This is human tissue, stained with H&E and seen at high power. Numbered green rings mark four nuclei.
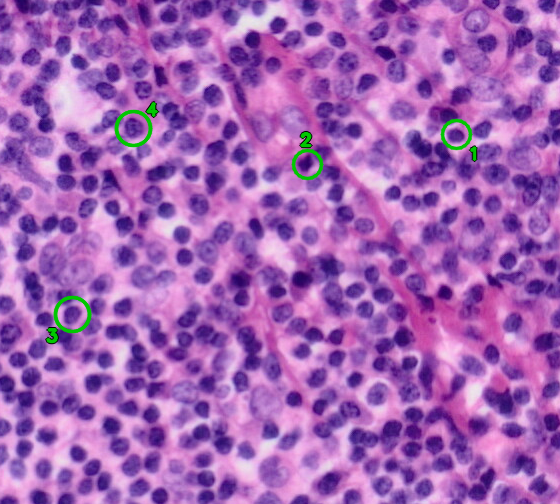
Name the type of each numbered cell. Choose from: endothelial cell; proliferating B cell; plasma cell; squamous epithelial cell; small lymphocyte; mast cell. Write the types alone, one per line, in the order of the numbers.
small lymphocyte
endothelial cell
small lymphocyte
plasma cell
